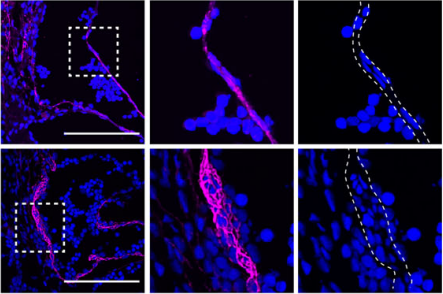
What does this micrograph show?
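In the upper row the band is thin, with nuclei lined up in a single file inside the dashed outline. In the lower row the band is thick and fibrous, with many more nuclei packed inside it.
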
